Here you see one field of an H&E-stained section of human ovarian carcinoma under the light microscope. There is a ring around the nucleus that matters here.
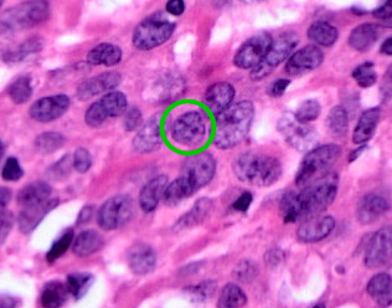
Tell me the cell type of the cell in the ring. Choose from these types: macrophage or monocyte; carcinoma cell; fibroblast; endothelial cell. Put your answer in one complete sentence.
In this field of tissue, the cell in the ring is a carcinoma cell.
